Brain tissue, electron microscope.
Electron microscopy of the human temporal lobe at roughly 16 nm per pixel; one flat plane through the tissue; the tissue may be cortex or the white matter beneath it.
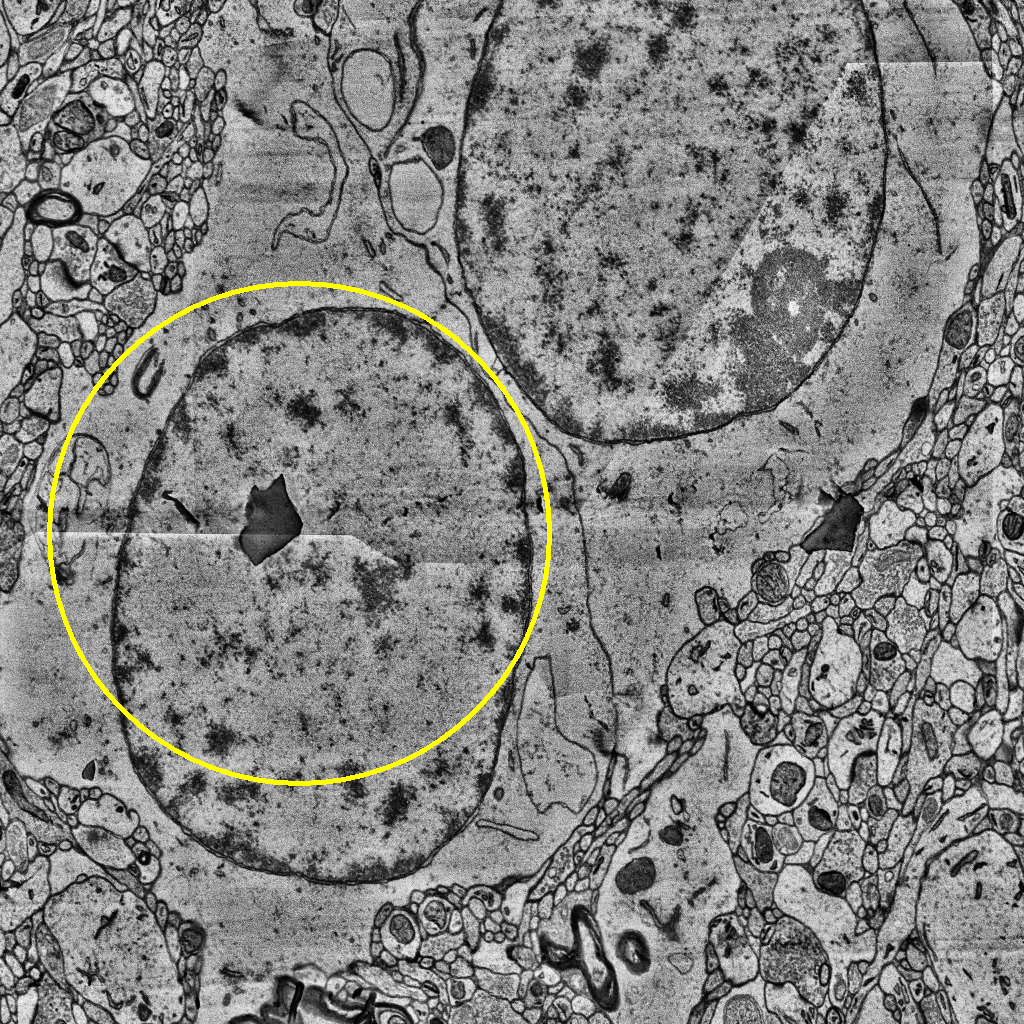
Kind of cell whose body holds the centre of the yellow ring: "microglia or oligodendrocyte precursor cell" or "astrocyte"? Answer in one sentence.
The ring's centre falls on an astrocyte.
